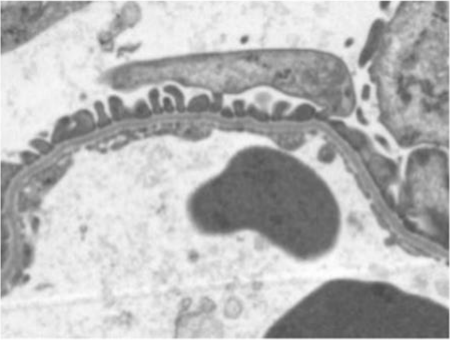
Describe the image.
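This electron micrograph shows a glomerular capillary loop whose lumen holds dense, uniformly dark red blood cells. A thin, even basement membrane runs around the lumen. It is lined on the inner side by a thin, perforated endothelial layer. On the outer side, many small, regularly spaced podocyte foot processes rest on the membrane, separated by narrow slits, and a podocyte cell body lies above them.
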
